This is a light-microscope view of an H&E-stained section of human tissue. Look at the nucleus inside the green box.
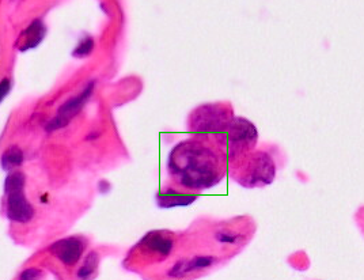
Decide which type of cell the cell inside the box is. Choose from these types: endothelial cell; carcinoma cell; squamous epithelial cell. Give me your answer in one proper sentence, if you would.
Considered by cell type, the cell inside the box is a carcinoma cell.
